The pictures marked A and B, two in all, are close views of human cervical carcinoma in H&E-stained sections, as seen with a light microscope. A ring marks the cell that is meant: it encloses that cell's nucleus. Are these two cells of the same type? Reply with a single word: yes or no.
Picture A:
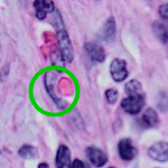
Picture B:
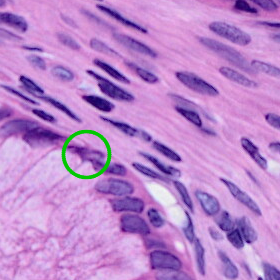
no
